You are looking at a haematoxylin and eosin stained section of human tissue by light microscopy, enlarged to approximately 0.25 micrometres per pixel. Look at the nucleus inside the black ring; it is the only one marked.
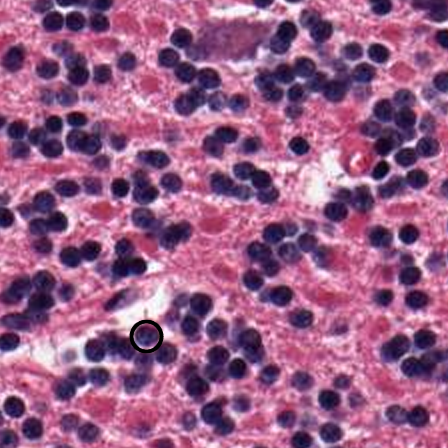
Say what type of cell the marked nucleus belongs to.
cerebellar granule cell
